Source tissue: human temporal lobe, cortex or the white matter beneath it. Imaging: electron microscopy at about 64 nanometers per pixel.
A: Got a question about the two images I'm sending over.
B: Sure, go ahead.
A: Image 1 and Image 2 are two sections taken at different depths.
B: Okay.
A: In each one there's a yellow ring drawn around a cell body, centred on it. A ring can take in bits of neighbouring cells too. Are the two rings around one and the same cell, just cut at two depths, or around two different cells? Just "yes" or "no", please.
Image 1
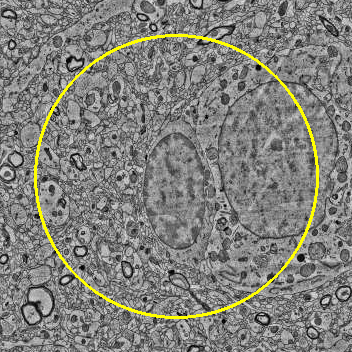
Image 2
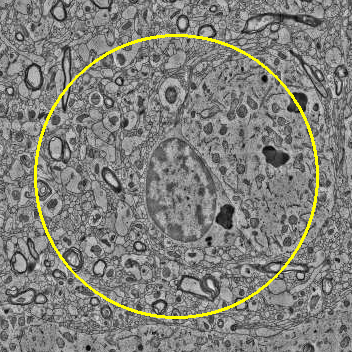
no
